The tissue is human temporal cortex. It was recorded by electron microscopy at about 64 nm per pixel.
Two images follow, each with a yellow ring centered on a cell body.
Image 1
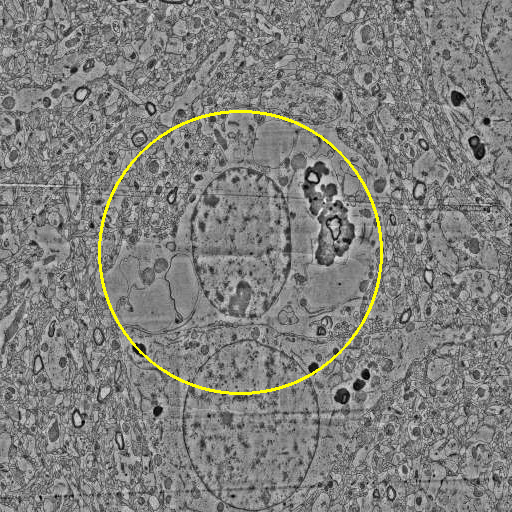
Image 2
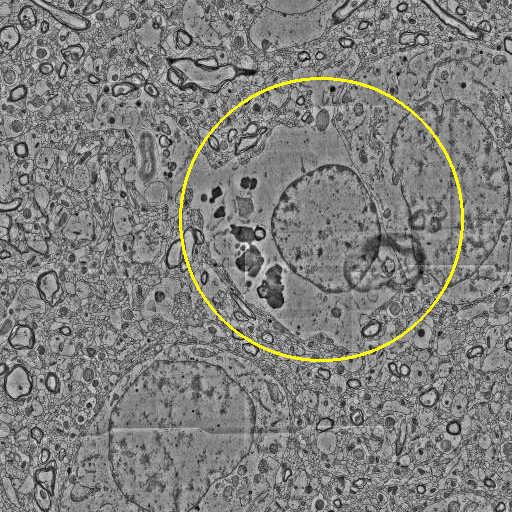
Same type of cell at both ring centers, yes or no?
yes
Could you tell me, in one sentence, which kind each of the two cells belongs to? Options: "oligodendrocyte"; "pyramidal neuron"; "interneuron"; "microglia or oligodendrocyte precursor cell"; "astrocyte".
Each of the two rings surrounds an astrocyte.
